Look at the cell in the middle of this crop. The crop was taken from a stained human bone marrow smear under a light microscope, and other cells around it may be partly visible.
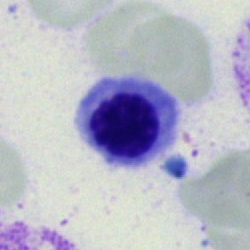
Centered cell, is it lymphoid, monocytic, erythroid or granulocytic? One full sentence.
In the crop, the cell at the center is of erythroid lineage.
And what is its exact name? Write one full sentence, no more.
Whatever else lies nearby, the middle cell is an erythroblast.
